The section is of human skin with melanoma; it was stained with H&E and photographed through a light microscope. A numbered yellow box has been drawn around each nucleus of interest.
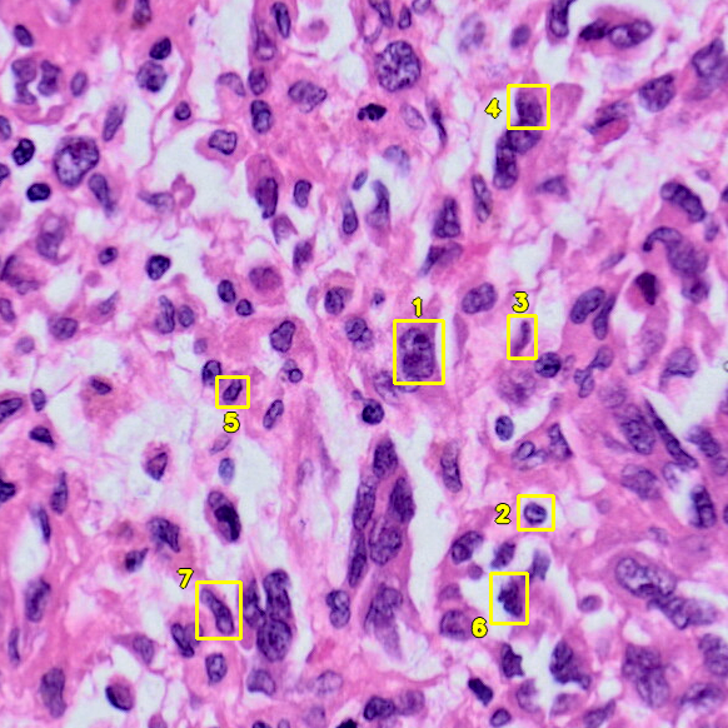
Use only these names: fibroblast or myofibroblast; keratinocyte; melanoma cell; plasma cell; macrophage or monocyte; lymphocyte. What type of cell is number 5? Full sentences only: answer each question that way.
The cell marked with number 5 is a macrophage or monocyte.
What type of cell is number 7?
Nucleus 7 in this section belongs to a macrophage or monocyte.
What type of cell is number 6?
The cell marked with the number 6 is a melanoma cell.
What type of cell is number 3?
The expected answer is that cell 3 is a fibroblast or myofibroblast.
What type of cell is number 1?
In this section, number 1 marks a melanoma cell.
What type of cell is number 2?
Cell 2 in the field is a lymphocyte.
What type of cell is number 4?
The numeral 4 marks a melanoma cell in this section.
